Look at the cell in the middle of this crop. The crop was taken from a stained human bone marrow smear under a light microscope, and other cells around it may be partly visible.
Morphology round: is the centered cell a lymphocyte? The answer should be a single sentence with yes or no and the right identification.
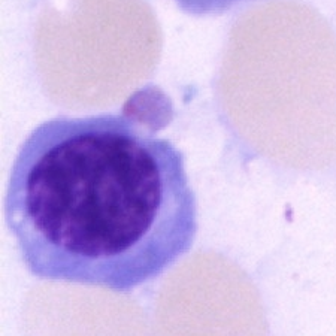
No, the cell at the center of this crop is an erythroblast instead of a lymphocyte.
